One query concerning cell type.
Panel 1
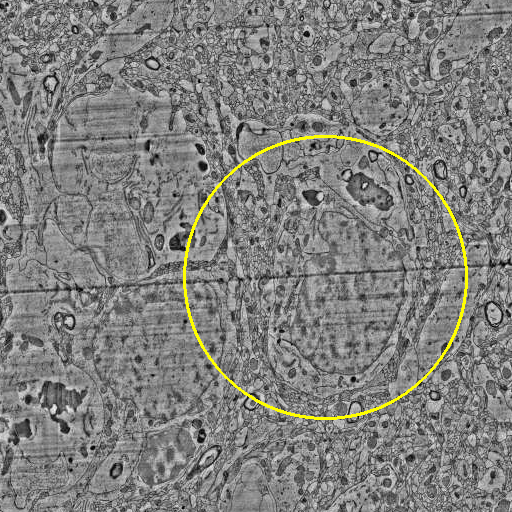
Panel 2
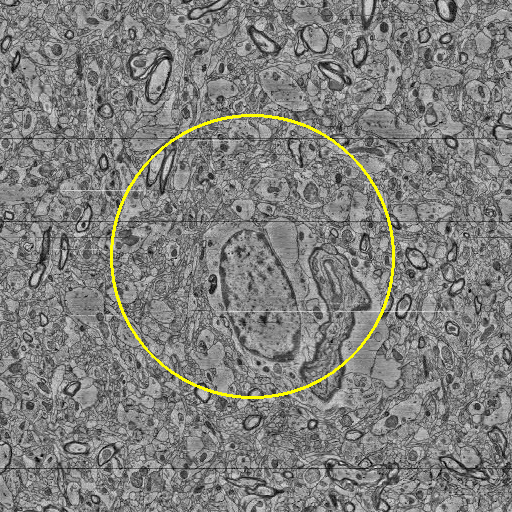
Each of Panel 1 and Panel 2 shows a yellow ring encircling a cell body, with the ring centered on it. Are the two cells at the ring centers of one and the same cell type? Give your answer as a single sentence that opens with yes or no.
No, the cell centered in Panel 1 and the one in Panel 2 are of two types.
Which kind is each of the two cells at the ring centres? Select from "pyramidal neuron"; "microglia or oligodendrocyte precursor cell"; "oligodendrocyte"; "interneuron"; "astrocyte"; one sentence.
The cell at the centre of the ring is an interneuron in the first picture and a microglial cell or oligodendrocyte precursor cell in the second.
